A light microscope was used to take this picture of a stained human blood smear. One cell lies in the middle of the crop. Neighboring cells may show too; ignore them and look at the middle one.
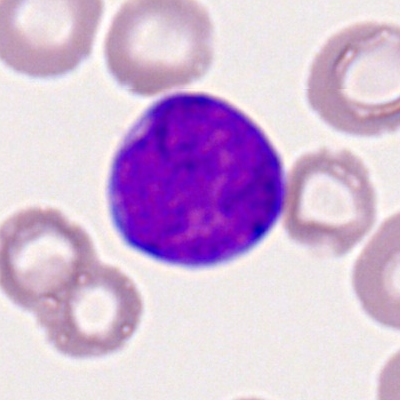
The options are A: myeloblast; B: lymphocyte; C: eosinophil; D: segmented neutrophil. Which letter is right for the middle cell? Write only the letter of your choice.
A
